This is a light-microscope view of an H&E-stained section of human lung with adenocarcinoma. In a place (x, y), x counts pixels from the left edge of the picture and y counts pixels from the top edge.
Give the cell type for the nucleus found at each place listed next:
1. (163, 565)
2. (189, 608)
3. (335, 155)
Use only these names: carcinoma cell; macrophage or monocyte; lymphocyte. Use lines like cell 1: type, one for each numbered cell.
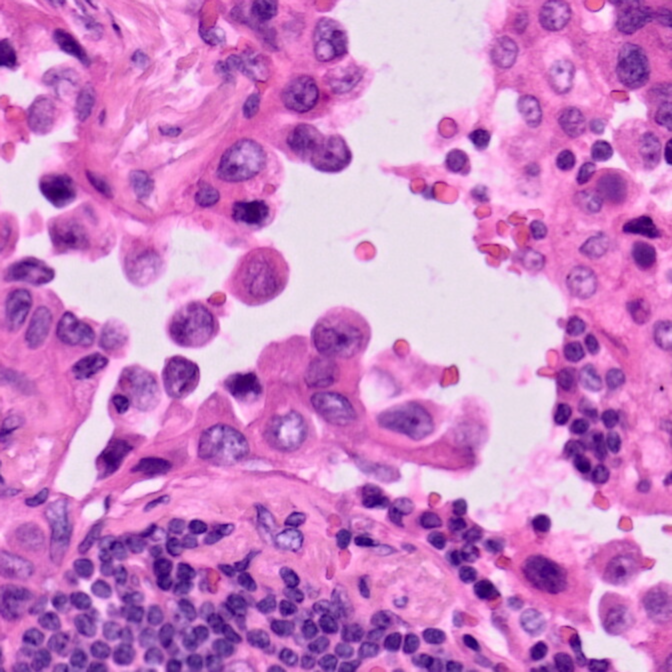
cell 1: lymphocyte
cell 2: lymphocyte
cell 3: carcinoma cell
